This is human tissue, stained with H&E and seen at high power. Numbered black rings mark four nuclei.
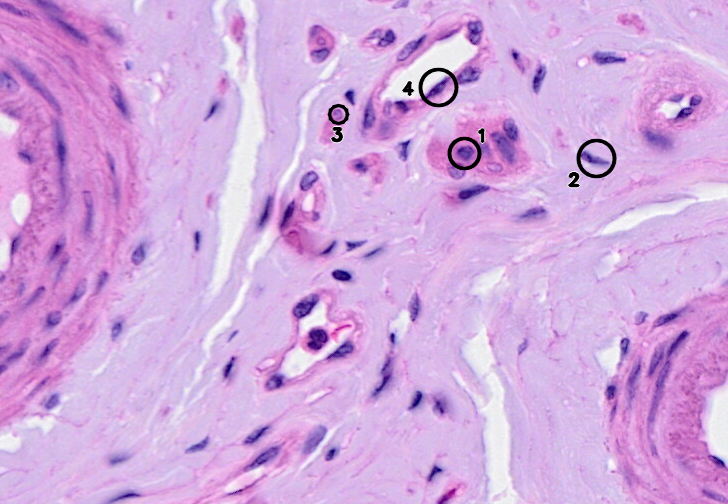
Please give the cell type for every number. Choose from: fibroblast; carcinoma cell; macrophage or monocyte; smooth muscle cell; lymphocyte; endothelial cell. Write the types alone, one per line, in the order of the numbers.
smooth muscle cell
fibroblast
smooth muscle cell
endothelial cell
